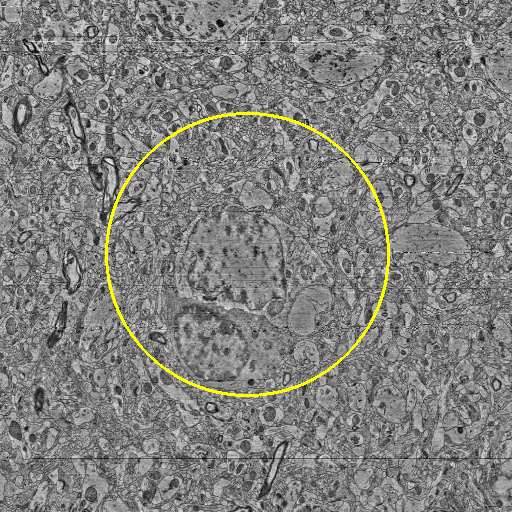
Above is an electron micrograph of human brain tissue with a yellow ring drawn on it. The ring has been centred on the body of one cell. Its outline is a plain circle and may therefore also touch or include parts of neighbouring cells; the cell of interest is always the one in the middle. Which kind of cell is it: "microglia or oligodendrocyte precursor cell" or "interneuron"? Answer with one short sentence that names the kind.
The ring's central cell body is that of an interneuron.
